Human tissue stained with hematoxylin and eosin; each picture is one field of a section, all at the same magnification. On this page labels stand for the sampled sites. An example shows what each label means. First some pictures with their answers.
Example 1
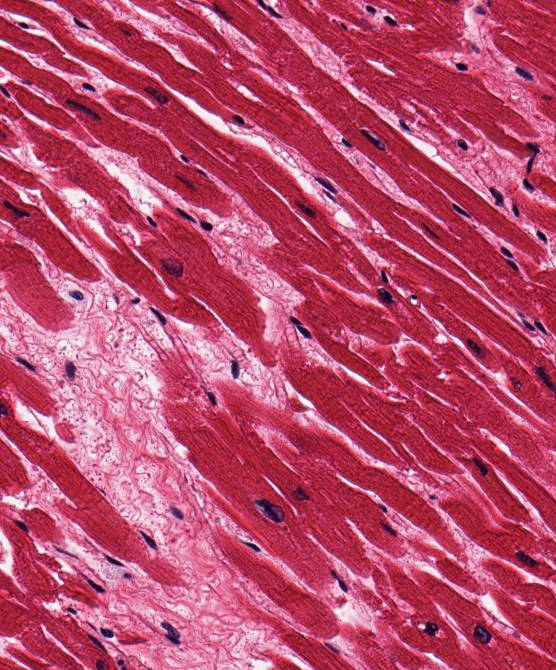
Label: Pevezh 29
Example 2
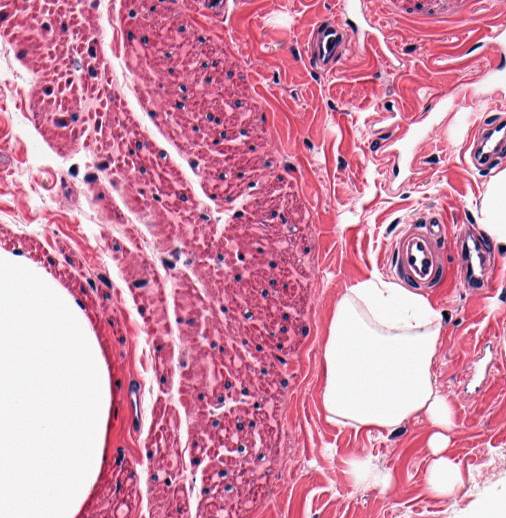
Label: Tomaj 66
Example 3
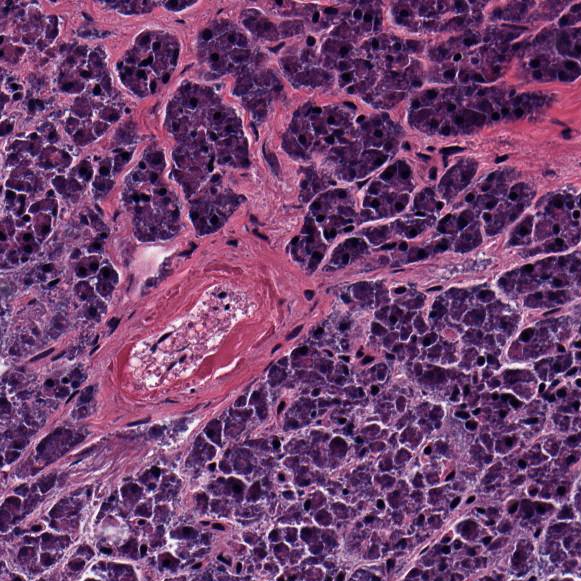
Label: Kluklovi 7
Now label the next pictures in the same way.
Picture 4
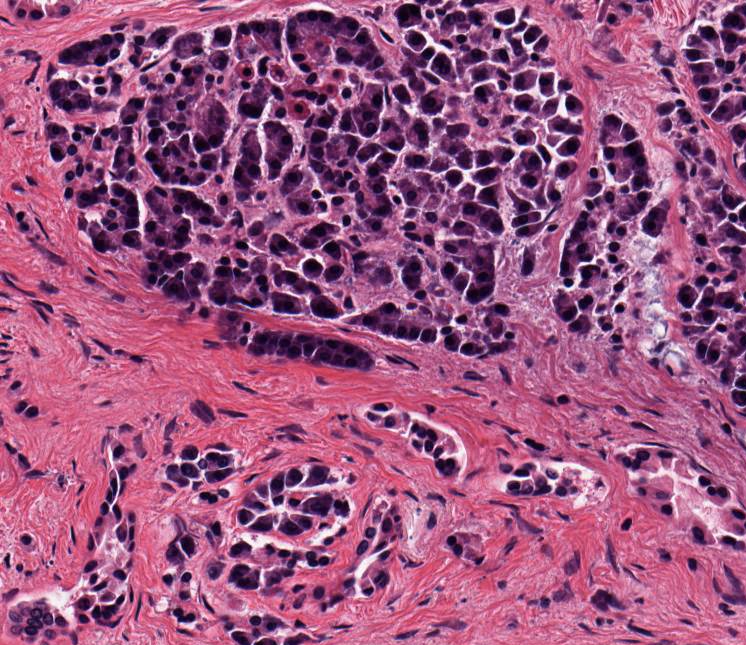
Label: Kluklovi 7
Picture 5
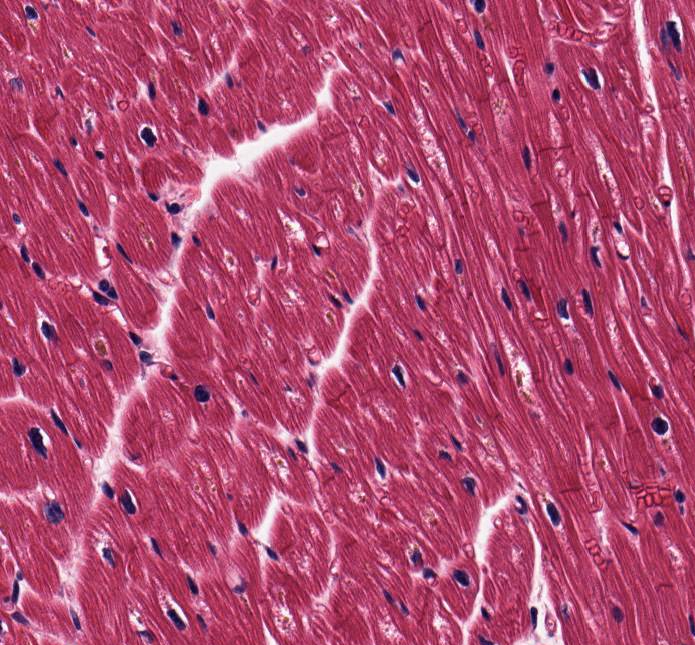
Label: Pevezh 29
